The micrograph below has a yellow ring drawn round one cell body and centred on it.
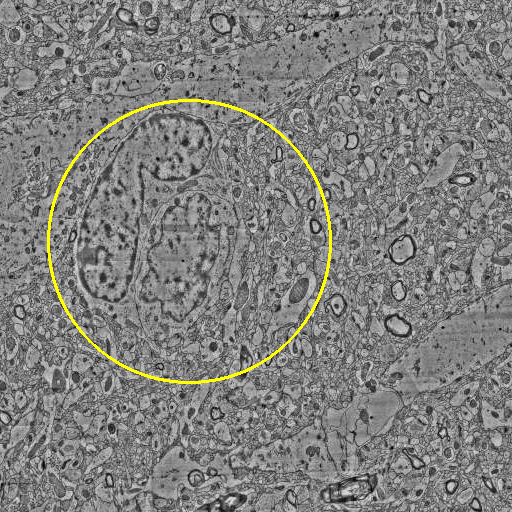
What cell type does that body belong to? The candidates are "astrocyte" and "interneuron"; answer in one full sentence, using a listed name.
This is an interneuron, the cell whose body lies at the centre of the ring.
